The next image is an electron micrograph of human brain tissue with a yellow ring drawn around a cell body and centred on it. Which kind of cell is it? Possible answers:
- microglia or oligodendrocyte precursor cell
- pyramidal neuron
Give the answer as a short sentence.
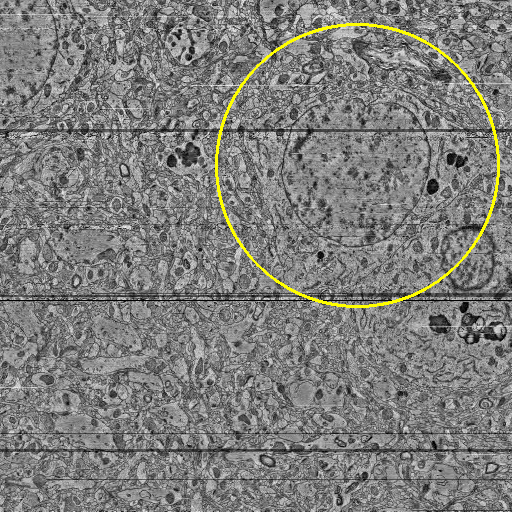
In the ring's centre is a pyramidal neuron.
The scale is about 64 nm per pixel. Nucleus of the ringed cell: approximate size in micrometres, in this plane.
About 10 micrometers across, in this plane.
